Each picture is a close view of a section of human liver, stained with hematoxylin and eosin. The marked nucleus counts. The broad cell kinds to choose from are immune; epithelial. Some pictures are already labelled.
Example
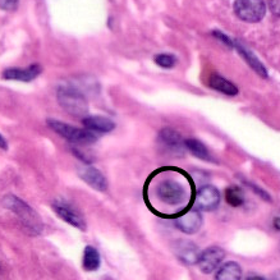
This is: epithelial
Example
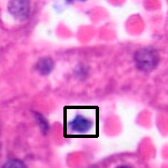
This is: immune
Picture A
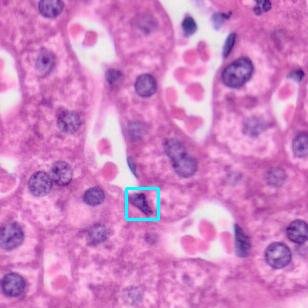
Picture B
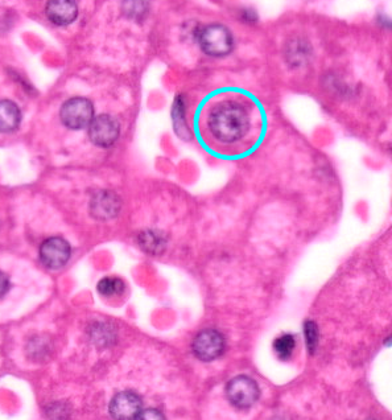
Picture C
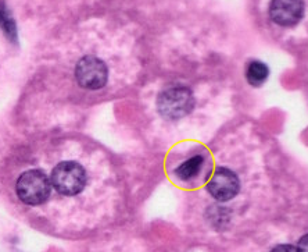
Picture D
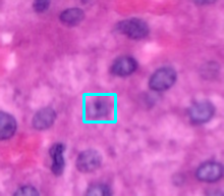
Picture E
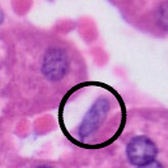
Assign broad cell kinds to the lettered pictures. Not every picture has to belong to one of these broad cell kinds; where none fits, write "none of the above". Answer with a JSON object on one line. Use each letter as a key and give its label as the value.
{"A": "none of the above", "B": "epithelial", "C": "none of the above", "D": "epithelial", "E": "immune"}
